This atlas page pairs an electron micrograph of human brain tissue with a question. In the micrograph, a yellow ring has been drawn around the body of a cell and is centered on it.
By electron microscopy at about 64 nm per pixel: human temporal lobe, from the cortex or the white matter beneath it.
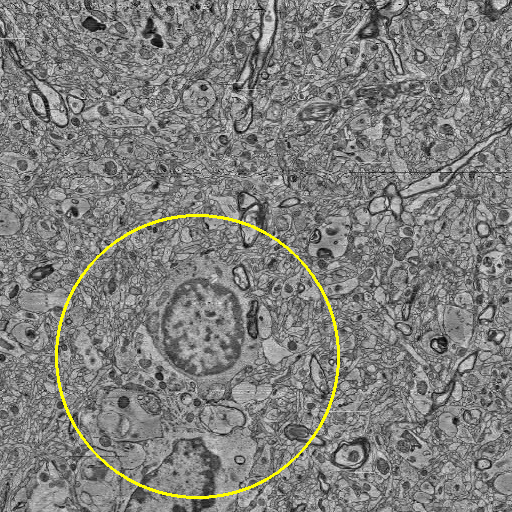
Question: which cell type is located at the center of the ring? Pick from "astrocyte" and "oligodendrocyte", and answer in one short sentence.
Located at the center of the ring is an oligodendrocyte.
